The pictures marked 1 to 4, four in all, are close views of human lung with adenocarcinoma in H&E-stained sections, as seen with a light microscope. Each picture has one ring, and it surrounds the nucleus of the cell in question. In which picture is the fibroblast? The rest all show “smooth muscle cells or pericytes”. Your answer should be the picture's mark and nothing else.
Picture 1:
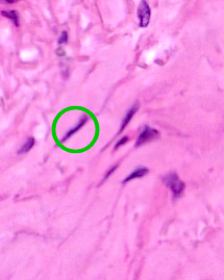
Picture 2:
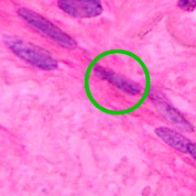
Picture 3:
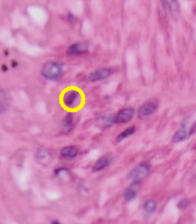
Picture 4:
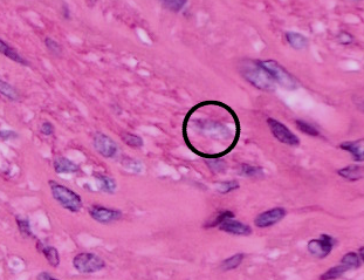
1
